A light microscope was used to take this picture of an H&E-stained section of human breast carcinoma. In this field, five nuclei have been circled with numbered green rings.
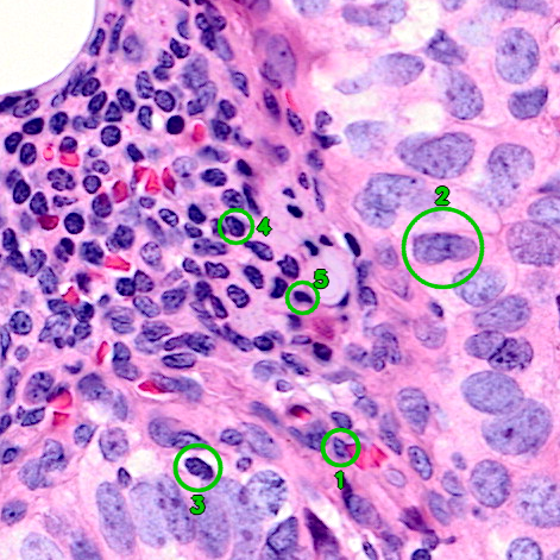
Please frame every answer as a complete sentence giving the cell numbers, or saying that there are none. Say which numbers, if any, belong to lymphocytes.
The cells labelled 3, 4 and 5 in this section are lymphocytes.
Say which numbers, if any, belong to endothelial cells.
Just one numbered cell is an endothelial cell, and that cell is number 1.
